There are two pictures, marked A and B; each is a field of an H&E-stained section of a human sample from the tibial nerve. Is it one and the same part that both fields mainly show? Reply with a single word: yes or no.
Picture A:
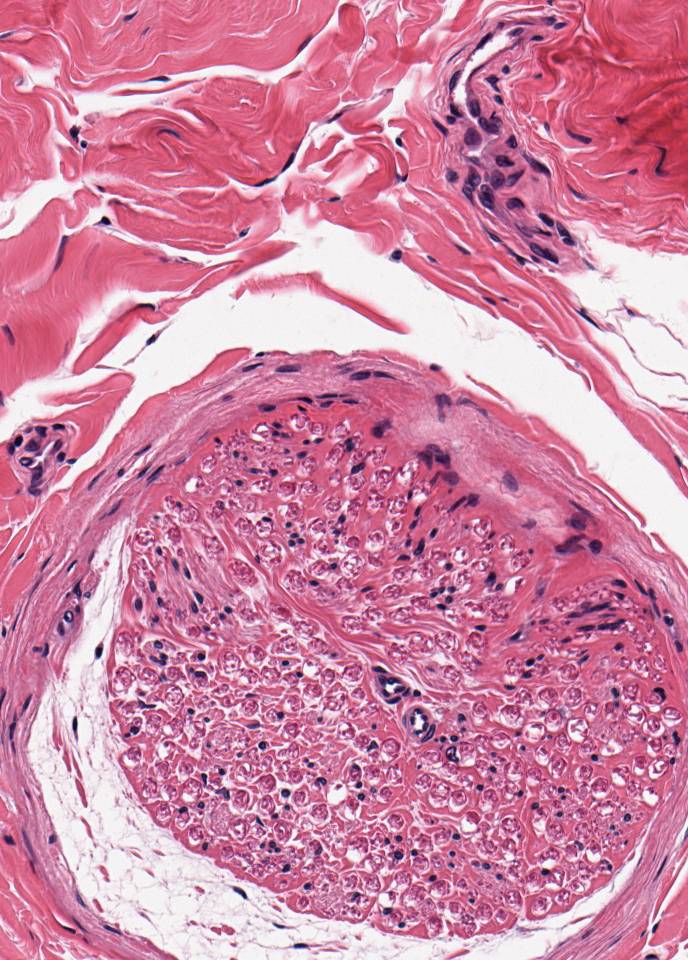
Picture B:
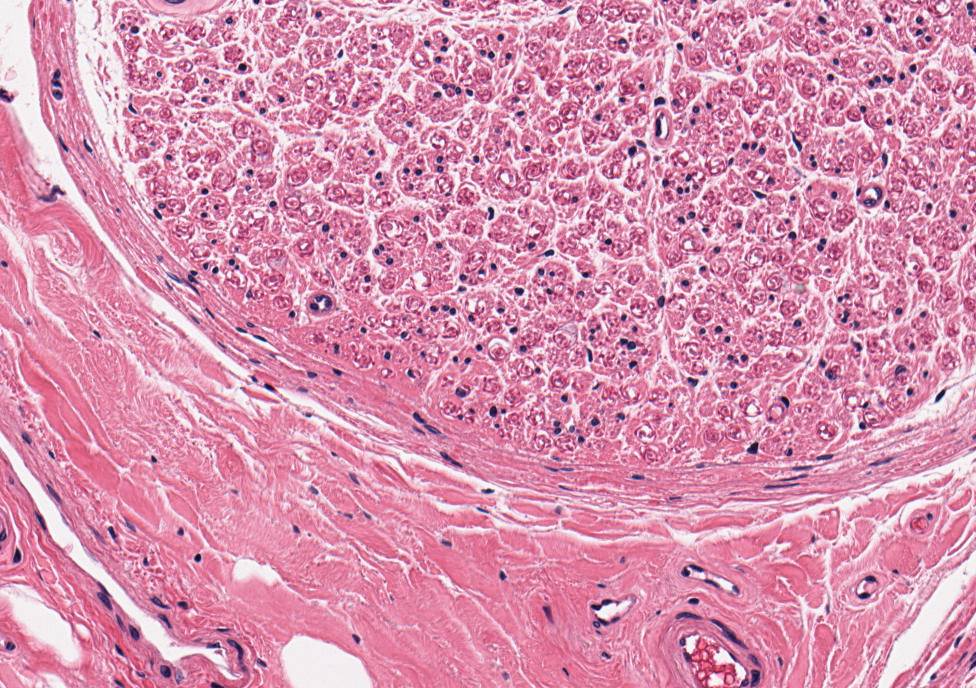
yes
